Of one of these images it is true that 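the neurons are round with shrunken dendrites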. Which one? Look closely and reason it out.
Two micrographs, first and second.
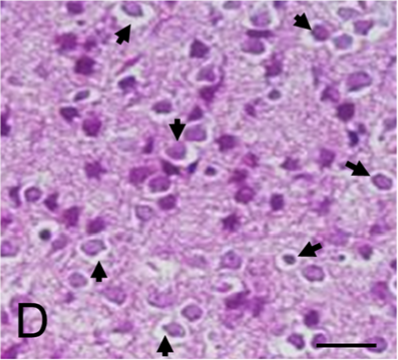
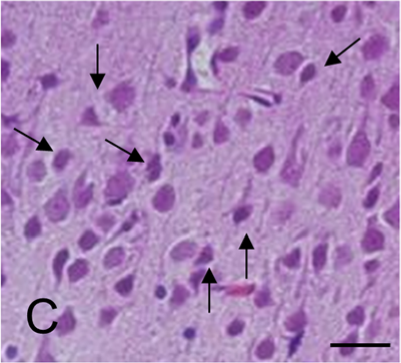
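First image: many cell bodies are round, sit in clear halos and show few processes. Second image: many cell bodies are triangular with tapering processes in a smooth pink background.
Conclusion: the first image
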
